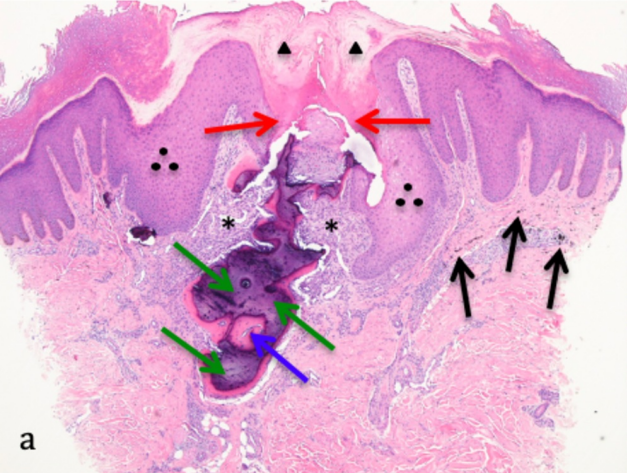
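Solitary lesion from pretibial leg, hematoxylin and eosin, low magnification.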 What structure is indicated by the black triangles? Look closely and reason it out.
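A cup-shaped depression in the skin surface is filled with pink, compact material. The triangles lie in this pink plug at the top centre of the section. That points to this answer: keratin-plugged crater.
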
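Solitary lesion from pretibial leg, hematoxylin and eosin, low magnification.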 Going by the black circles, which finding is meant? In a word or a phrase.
Hyperplastic epidermis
